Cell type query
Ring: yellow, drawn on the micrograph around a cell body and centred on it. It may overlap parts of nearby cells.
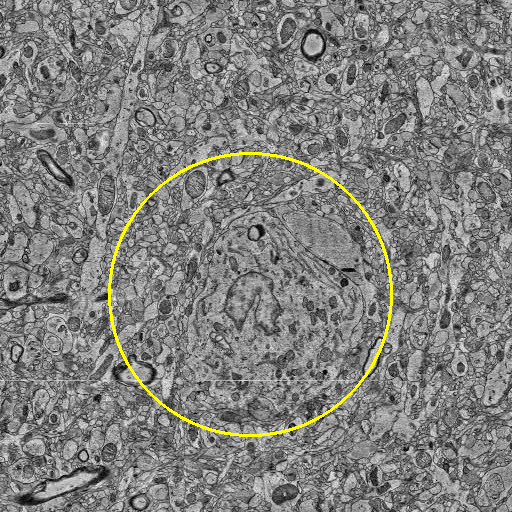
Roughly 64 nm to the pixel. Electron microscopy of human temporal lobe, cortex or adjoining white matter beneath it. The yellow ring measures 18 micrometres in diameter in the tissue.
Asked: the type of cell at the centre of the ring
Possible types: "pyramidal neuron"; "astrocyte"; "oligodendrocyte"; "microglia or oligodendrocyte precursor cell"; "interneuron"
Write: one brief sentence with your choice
The ring marks an interneuron.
